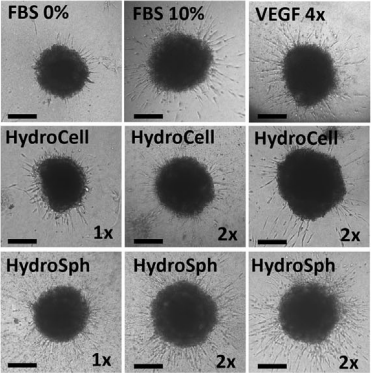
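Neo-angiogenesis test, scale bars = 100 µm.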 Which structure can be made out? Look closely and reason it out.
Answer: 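Thin, thread-like extensions radiate outward from each dark central mass. The extensions are longer and more numerous in some images than in others.
Hence: sprout.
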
